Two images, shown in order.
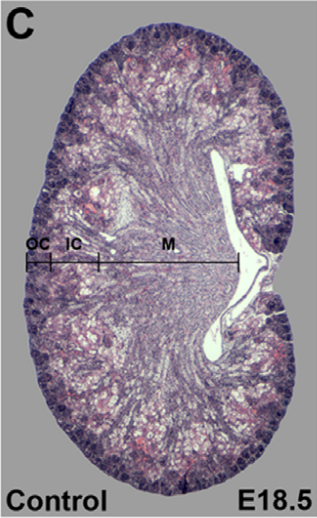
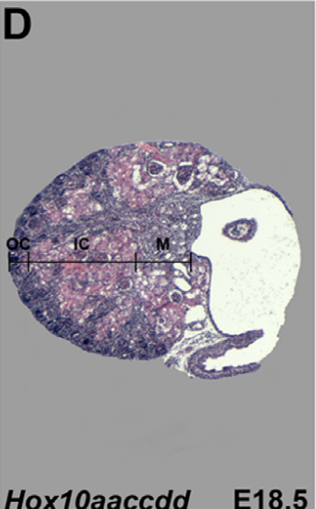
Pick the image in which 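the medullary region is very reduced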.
The second image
